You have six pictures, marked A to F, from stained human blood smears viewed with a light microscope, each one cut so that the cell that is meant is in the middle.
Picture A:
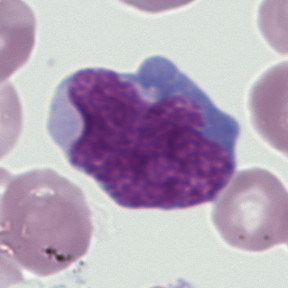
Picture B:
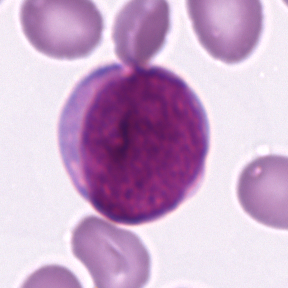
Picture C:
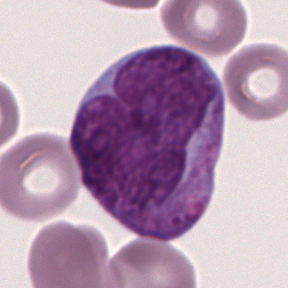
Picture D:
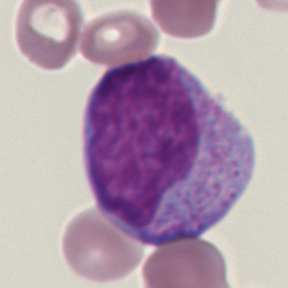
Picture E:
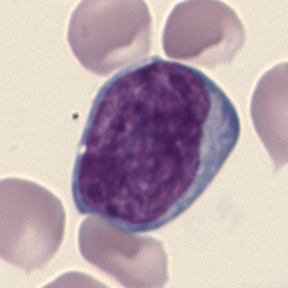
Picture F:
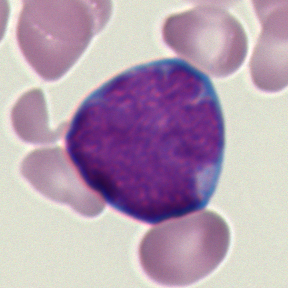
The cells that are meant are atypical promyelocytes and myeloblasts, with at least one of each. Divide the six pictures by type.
A: myeloblast
B: myeloblast
C: atypical promyelocyte
D: atypical promyelocyte
E: myeloblast
F: myeloblast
